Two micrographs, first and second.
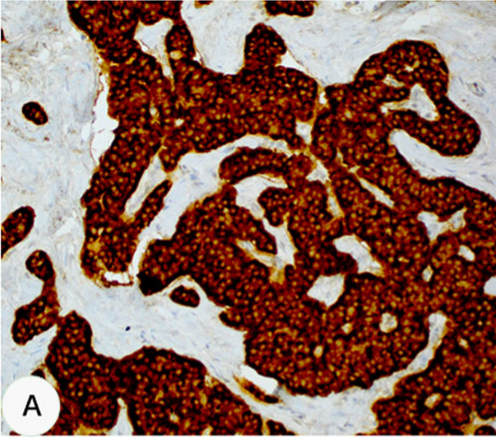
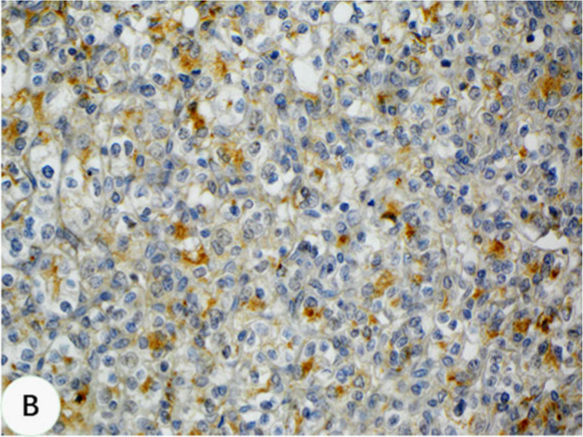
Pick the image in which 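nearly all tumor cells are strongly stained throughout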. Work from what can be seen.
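Second image: only scattered cells show faint brown stain among mostly blue cells. First image: the tumor cell nests are uniformly dark brown.
Answer: the first image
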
